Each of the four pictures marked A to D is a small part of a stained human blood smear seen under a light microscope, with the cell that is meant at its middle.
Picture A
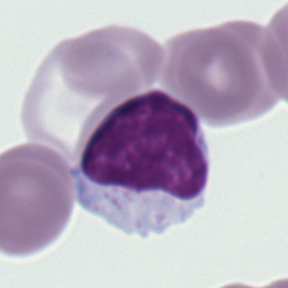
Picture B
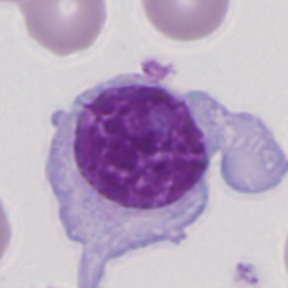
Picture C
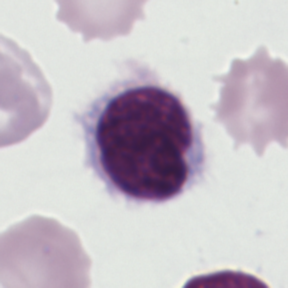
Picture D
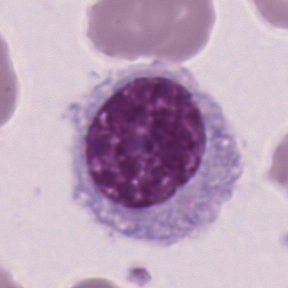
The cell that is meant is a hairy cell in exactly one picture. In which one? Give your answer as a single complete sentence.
The hairy cell is the one in picture C.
